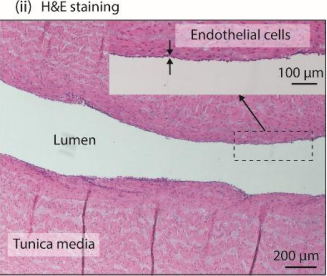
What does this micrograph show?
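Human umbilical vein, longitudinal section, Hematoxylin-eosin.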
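A thick pink wall lies on either side of an empty, slit-like lumen, made of densely packed, wavy fibres with scattered dark purple nuclei. In the enlarged inset, a thin, continuous row of flattened cells with dark nuclei runs along the edge facing the lumen.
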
